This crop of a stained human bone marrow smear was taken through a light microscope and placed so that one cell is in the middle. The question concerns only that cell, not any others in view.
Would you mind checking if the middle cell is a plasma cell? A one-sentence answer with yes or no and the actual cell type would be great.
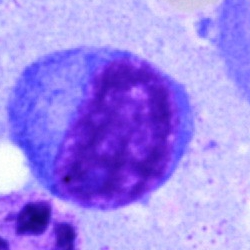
Yes, the centrally placed cell is a plasma cell.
